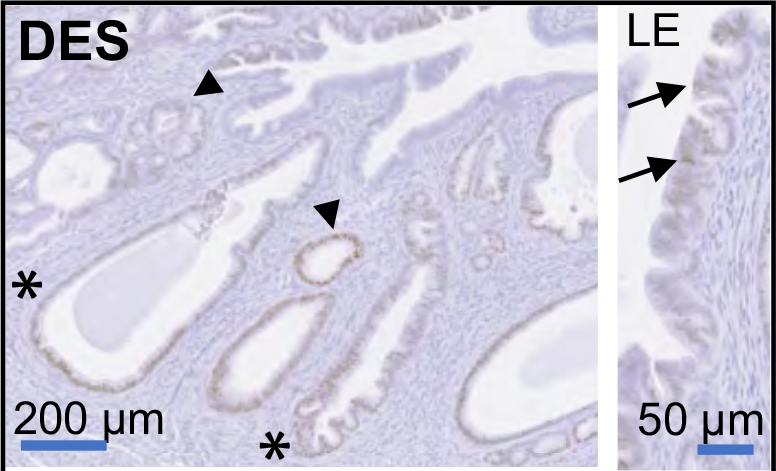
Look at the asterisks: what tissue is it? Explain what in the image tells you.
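Asterisks lie beside epithelium-lined tubular structures within the stroma. The lining of these tubules shows brown nuclei.
Conclusion: glandular epithelium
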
